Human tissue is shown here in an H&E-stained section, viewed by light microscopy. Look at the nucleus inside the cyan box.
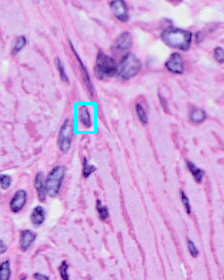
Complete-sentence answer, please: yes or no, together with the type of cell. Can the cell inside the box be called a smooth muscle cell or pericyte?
No, in this section the cell inside the box is a fibroblast and not a smooth muscle cell or pericyte.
